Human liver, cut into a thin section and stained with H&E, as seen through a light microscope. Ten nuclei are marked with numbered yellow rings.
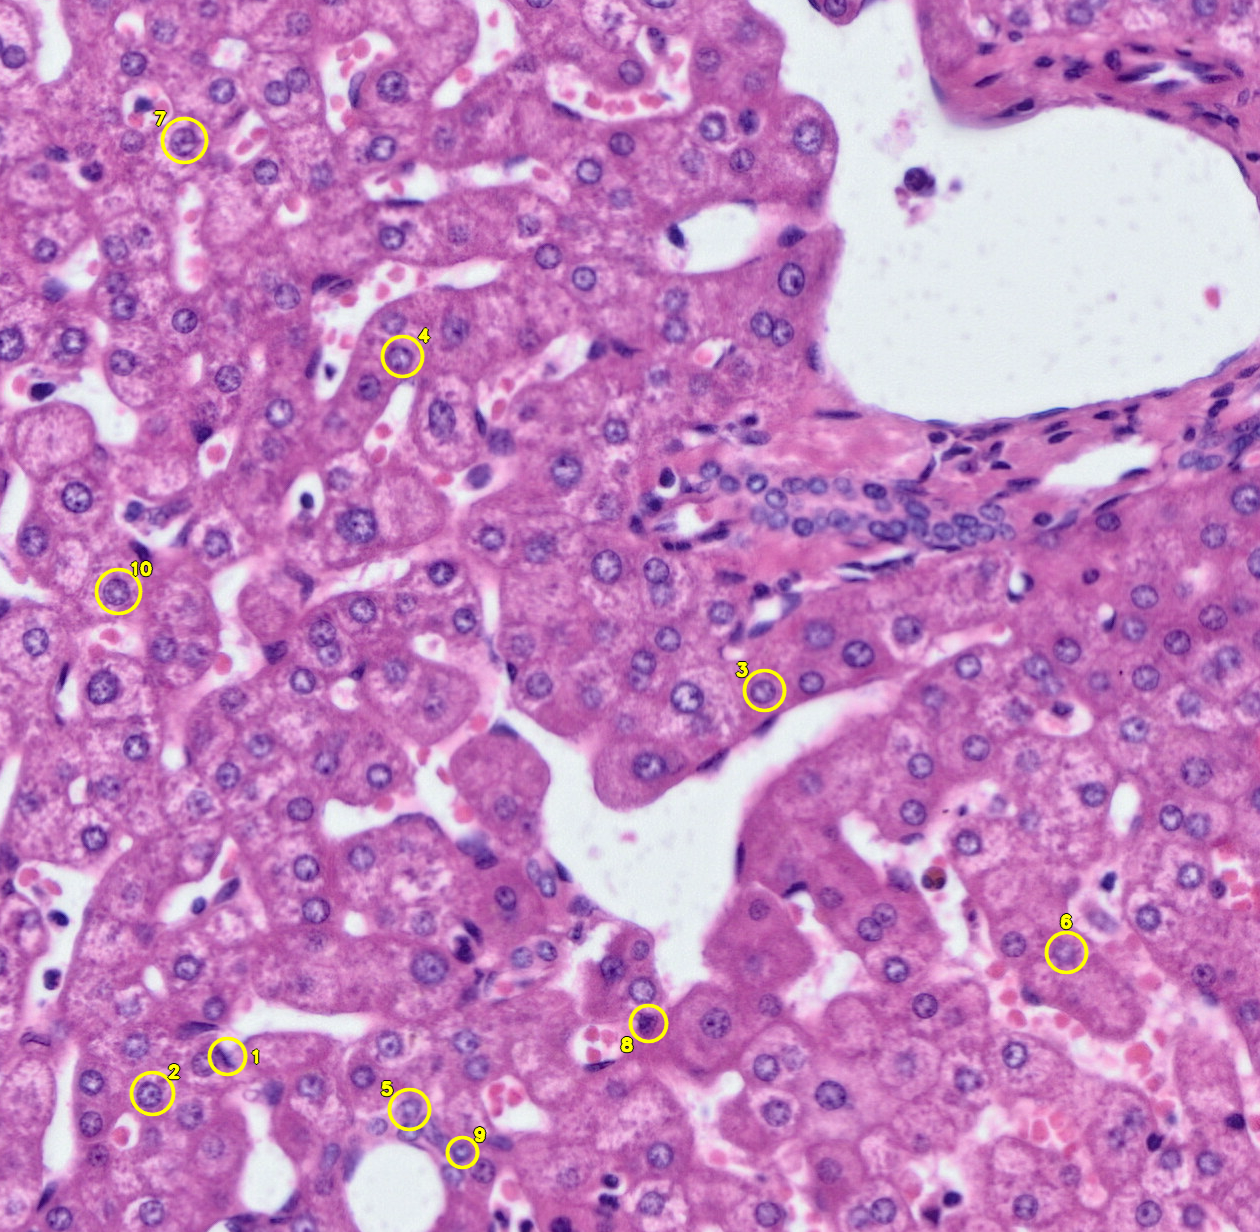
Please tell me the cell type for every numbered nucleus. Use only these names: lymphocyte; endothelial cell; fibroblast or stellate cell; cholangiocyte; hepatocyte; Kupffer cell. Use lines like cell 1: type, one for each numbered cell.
cell 1: fibroblast or stellate cell
cell 2: hepatocyte
cell 3: hepatocyte
cell 4: hepatocyte
cell 5: cholangiocyte
cell 6: hepatocyte
cell 7: hepatocyte
cell 8: fibroblast or stellate cell
cell 9: cholangiocyte
cell 10: hepatocyte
